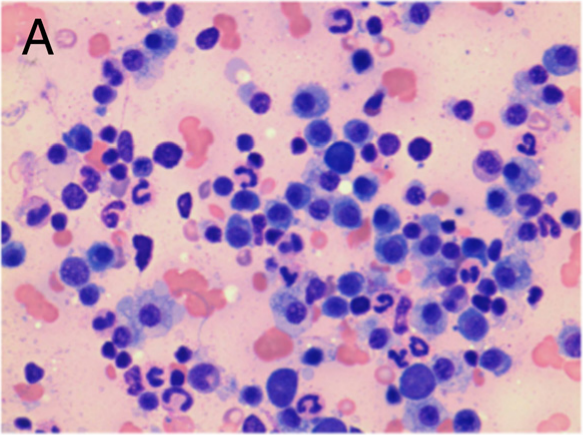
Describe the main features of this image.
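A cellular bone marrow smear in which many round cells stand out, each with a round, eccentrically placed dark purple nucleus and a rim of deep blue cytoplasm. These cells vary clearly in size, some large with abundant blue cytoplasm and bigger nuclei, others small. Among them lie scattered cells with segmented or band-shaped nuclei and pale pink cytoplasm, small dark nucleated cells, and red cells in clumps against a pale pink background. The crowd of blue cells with eccentric nuclei, unequal in size, fits a marrow with many atypical plasma cells.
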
